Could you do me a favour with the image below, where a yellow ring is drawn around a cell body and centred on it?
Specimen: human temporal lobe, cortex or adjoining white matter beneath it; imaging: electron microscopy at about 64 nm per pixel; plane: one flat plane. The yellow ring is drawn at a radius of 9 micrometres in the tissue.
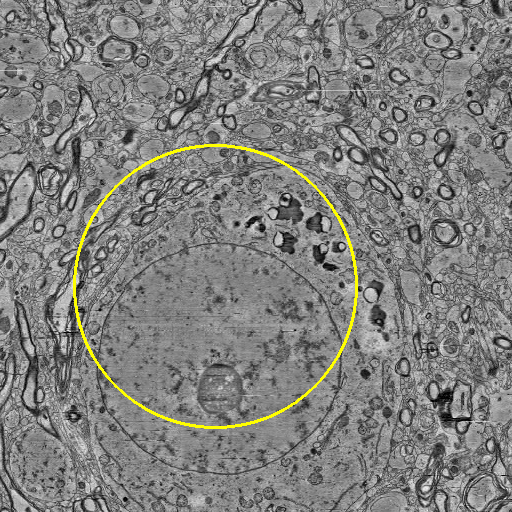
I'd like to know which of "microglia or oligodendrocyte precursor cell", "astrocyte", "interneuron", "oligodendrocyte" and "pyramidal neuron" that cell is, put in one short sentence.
The cell at the ring's centre is a pyramidal neuron.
